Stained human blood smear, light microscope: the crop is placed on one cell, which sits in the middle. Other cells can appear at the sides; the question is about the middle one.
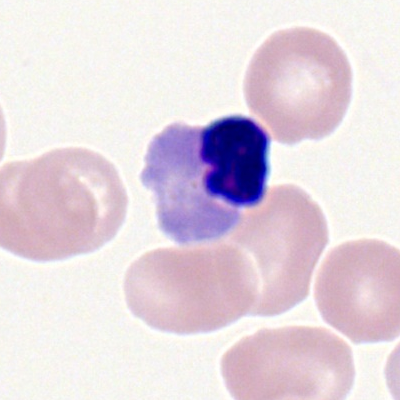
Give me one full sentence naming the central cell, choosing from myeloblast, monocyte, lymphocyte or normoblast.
The center cell of this crop is a normoblast.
